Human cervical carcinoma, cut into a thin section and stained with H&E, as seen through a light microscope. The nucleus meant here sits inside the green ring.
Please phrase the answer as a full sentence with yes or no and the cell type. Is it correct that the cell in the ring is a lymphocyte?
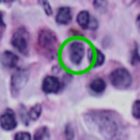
Yes, the cell in the ring is properly called a lymphocyte in this section.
